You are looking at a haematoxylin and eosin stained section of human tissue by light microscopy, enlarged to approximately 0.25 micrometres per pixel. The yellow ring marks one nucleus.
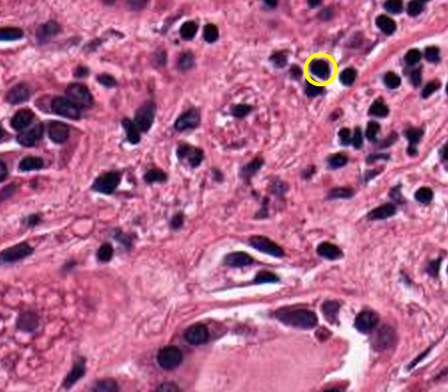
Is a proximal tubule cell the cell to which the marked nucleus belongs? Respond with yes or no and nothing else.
no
